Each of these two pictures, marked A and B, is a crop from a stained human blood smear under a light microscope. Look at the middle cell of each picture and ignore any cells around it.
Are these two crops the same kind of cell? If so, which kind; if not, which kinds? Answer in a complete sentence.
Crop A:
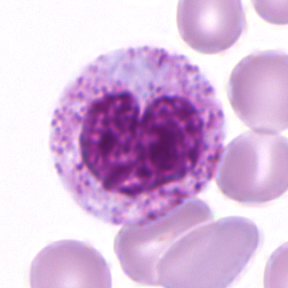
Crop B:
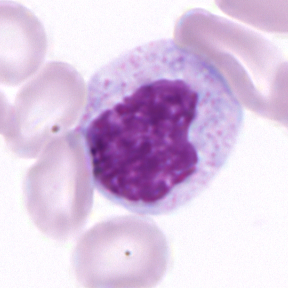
No, at the centre of crop A is a band neutrophil, and at the centre of crop B is a metamyelocyte.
